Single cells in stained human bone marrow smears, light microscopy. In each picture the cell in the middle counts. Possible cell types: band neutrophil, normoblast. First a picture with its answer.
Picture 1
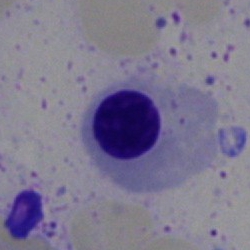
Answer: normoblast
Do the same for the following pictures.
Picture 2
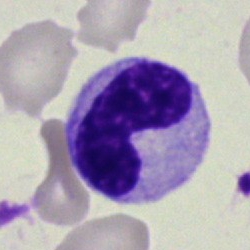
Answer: band neutrophil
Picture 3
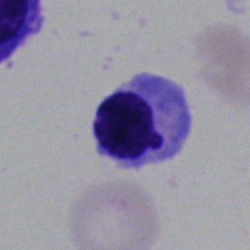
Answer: normoblast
